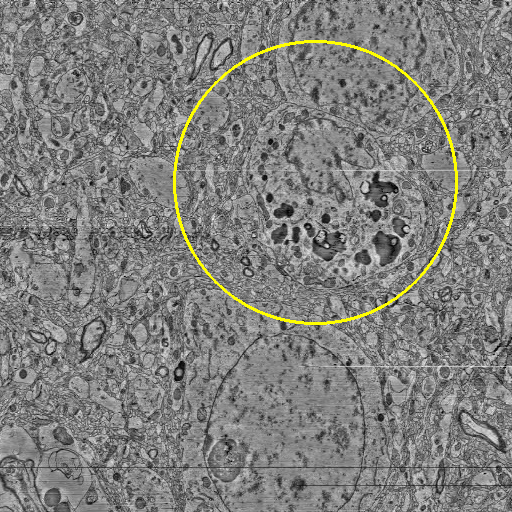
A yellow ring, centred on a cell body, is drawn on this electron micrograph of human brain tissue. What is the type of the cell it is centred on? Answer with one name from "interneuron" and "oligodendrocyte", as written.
interneuron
